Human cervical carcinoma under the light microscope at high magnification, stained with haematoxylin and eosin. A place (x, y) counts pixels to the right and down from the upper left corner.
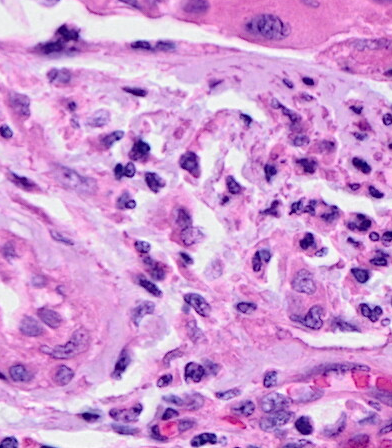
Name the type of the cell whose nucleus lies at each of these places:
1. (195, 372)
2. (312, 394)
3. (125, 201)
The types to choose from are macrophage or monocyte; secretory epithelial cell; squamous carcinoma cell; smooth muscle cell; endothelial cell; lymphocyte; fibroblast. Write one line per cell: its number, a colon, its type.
1: lymphocyte
2: endothelial cell
3: lymphocyte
